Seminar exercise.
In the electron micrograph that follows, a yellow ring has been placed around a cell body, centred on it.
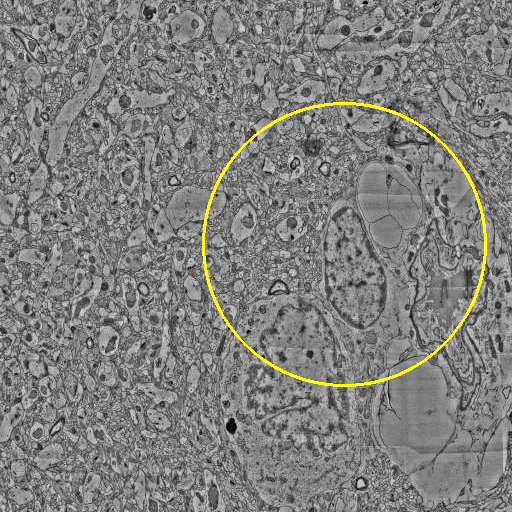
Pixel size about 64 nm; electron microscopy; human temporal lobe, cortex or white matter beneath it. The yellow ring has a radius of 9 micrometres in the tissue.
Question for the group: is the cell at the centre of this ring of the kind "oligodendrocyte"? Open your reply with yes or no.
No, the cell in the ring's centre is of another kind.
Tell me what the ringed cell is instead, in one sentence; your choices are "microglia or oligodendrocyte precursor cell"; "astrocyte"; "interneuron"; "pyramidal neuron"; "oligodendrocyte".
Instead, the ring in this picture marks a microglial cell or oligodendrocyte precursor cell.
